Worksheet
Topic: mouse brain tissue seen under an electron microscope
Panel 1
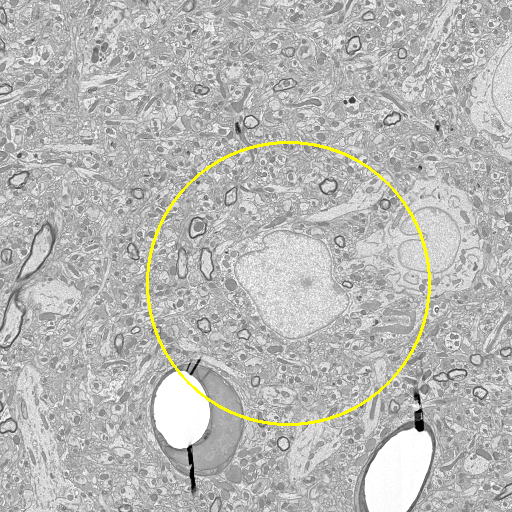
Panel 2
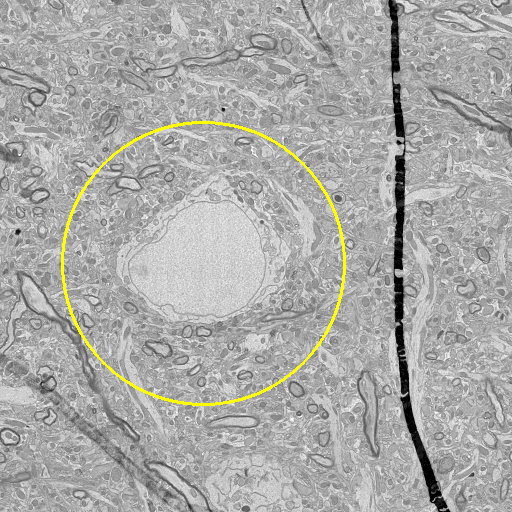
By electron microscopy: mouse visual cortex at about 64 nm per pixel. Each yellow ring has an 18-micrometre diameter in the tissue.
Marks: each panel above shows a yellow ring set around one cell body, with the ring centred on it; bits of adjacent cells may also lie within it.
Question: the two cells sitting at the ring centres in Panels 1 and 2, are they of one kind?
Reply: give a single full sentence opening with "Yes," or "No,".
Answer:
No, the two ring-centre cells in Panel 1 and Panel 2 are of two kinds.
